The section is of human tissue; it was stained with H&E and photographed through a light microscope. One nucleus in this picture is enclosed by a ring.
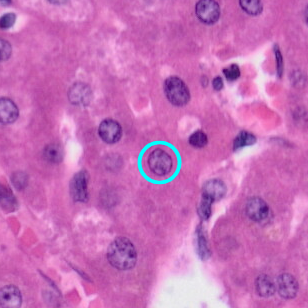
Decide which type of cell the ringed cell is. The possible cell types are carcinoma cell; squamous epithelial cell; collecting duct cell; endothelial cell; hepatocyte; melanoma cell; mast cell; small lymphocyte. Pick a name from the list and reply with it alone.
hepatocyte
